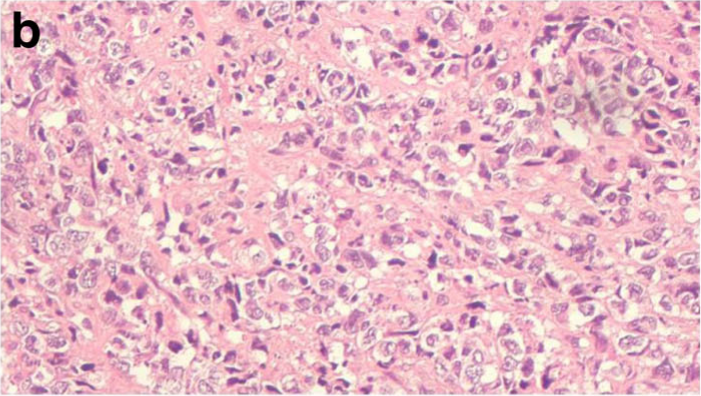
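Here tumor cells lie in a loose pink background, and their shapes vary from rounded epithelioid and polygonal cells to elongated spindle cells. Their cytoplasm stains pink with eosin. The nuclei are large and irregular, and many show visible nucleoli. Cells vary in size and shape from one to the next, showing marked atypia. Small clear spaces separate groups of cells.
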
